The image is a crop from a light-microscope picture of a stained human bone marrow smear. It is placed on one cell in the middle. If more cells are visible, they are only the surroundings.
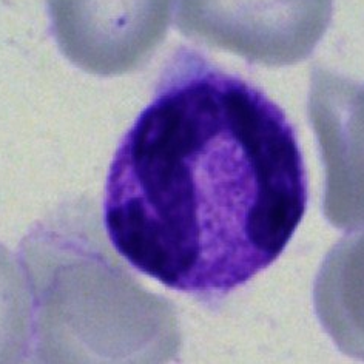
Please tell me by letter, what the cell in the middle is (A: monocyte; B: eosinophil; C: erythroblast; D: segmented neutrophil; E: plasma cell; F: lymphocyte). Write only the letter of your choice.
D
